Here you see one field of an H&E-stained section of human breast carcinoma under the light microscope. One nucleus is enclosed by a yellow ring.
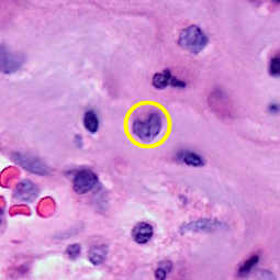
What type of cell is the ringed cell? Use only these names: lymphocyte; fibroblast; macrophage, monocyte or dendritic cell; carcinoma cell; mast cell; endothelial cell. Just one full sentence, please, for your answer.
Just put down that the ringed cell is a macrophage, monocyte or dendritic cell.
